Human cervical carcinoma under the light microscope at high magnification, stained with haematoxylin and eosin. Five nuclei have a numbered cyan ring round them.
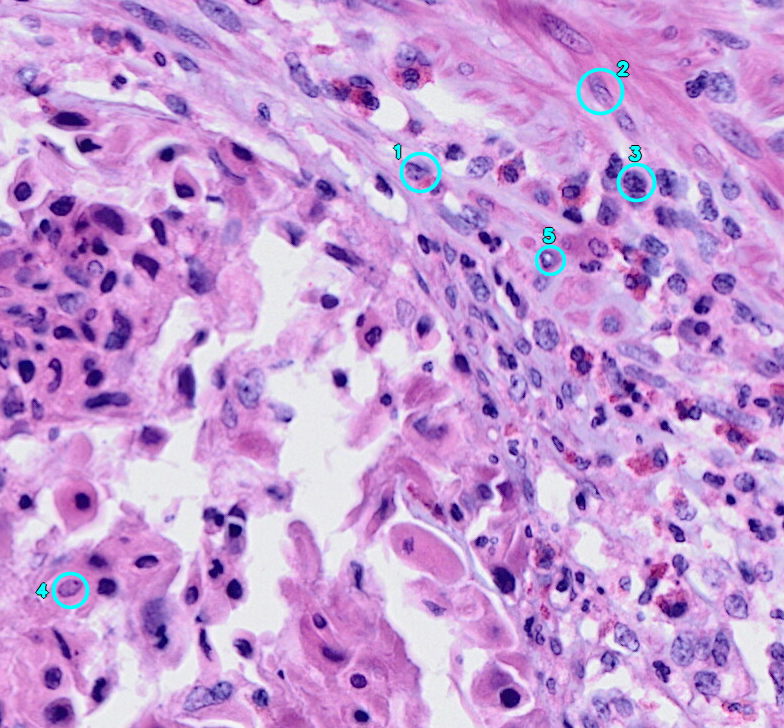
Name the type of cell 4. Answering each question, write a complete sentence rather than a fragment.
Recognised here as a squamous carcinoma cell is the cell numbered 4.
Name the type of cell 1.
The numbered cell 1 in this field is a macrophage or monocyte.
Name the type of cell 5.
The nucleus marked 5 is the nucleus of a smooth muscle cell.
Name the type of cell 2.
The nucleus labeled 2 belongs to a smooth muscle cell.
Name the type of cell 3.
The cell whose nucleus carries the number 3 is a lymphocyte.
